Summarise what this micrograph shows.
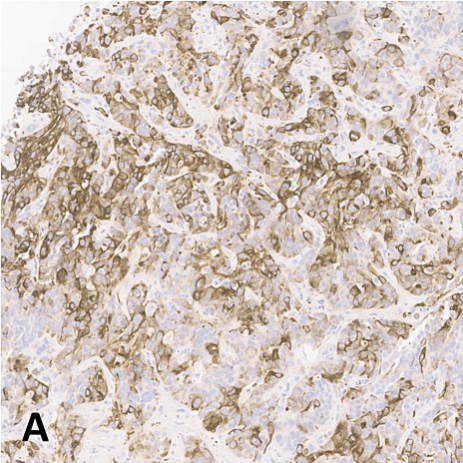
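Many epithelial cells show brown staining. In some cells the brown lies along the cell membrane and outlines the cell. In others it fills the cytoplasm. The intensity varies from patch to patch and is strongest on the left. The nuclei are blue, oval and moderately enlarged. Stromal cells with thin, elongated nuclei are unstained. Some groups of epithelial cells toward the bottom of the field are weakly stained or unstained.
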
